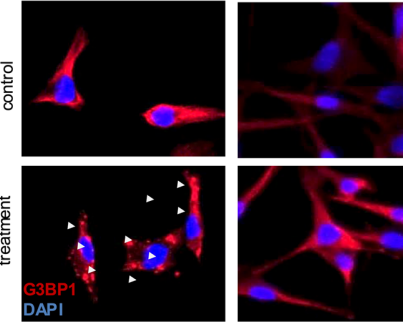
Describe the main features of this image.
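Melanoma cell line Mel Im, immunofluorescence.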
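In the upper images the cells are elongated or spindle-shaped and the red cytoplasmic signal is smooth and diffuse. In the right-hand images many elongated cells with long slender processes lie next to and across each other, their red cytoplasm evenly stained and surrounding central oval nuclei, without distinct dots.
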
